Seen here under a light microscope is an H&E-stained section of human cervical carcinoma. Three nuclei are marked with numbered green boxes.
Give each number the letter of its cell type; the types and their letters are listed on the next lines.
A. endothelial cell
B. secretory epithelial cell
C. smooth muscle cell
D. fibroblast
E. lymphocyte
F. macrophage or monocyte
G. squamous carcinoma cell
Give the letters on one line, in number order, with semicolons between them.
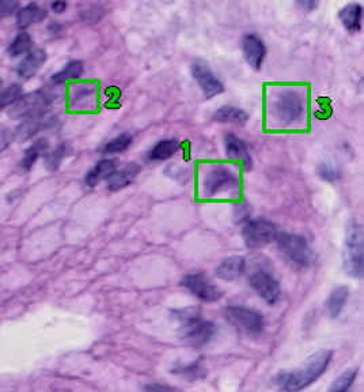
B; B; D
